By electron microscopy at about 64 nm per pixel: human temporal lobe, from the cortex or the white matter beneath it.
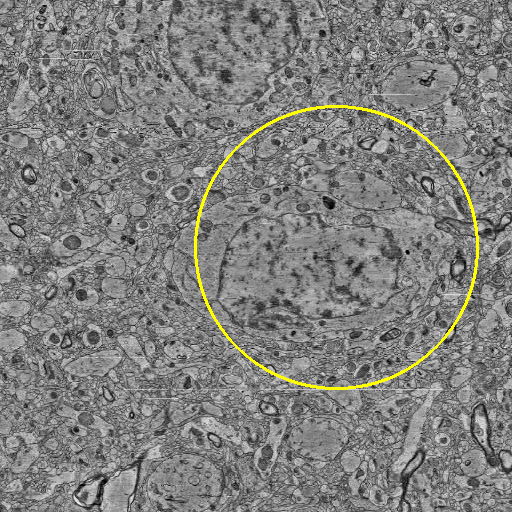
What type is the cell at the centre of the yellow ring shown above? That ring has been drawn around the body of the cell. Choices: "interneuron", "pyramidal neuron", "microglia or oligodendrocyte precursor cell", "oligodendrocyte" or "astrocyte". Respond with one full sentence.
My answer is that an interneuron lies at the centre of the yellow ring above.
